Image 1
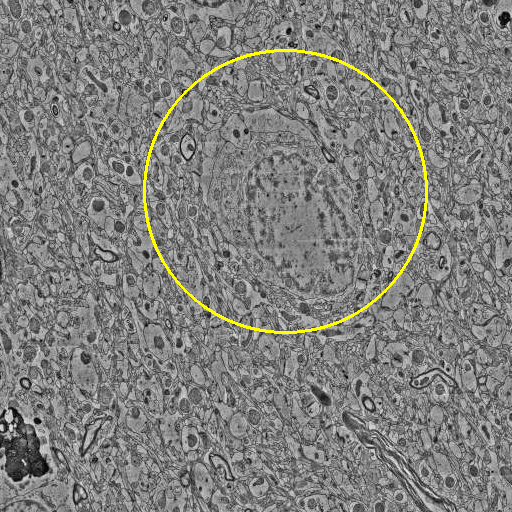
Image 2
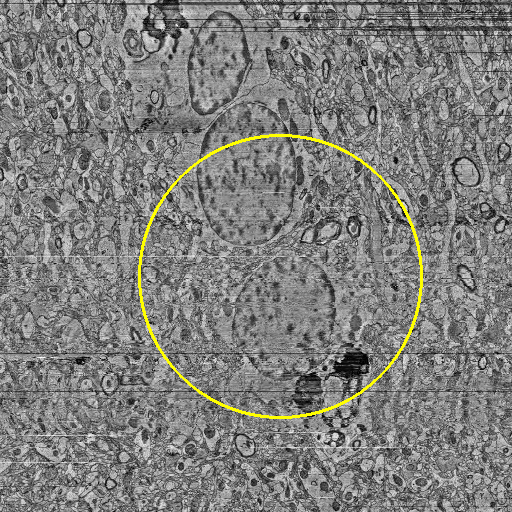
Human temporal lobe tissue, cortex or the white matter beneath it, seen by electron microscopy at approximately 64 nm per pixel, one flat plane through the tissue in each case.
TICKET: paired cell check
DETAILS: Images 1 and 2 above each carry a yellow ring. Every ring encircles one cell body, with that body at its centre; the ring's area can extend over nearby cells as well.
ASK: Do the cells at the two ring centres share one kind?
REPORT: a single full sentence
No, the ring-centre cells of Images 1 and 2 belong to two kinds.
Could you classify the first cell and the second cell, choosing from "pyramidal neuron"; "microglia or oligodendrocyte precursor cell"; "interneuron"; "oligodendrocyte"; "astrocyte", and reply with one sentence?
The second cell is an astrocyte, while the first is an interneuron.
